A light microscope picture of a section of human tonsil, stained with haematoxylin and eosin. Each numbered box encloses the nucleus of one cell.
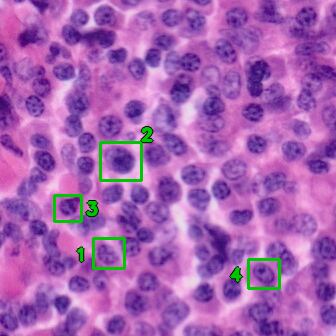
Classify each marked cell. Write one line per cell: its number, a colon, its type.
1: plasma cell
2: proliferating B cell
3: plasma cell
4: plasma cell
